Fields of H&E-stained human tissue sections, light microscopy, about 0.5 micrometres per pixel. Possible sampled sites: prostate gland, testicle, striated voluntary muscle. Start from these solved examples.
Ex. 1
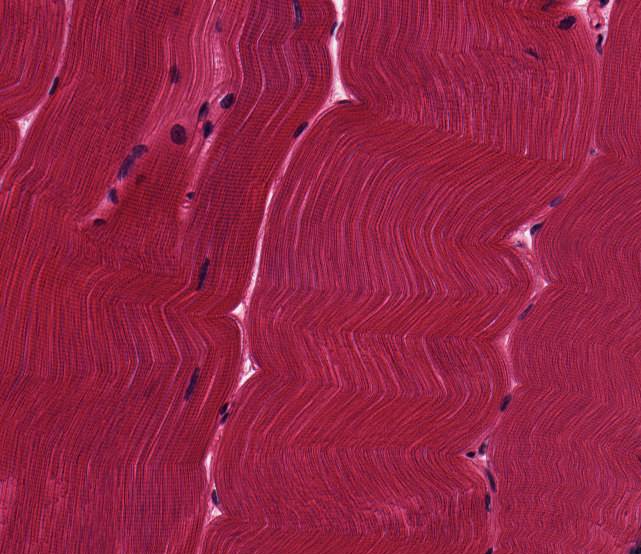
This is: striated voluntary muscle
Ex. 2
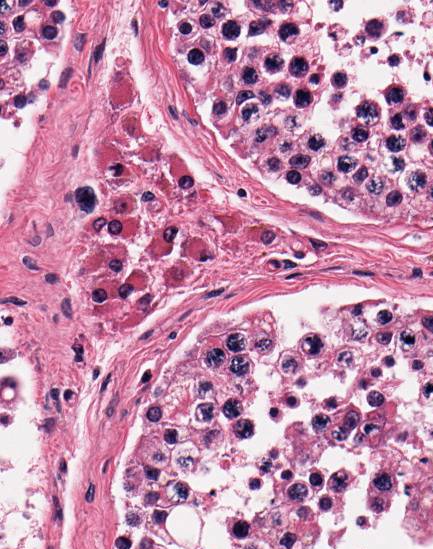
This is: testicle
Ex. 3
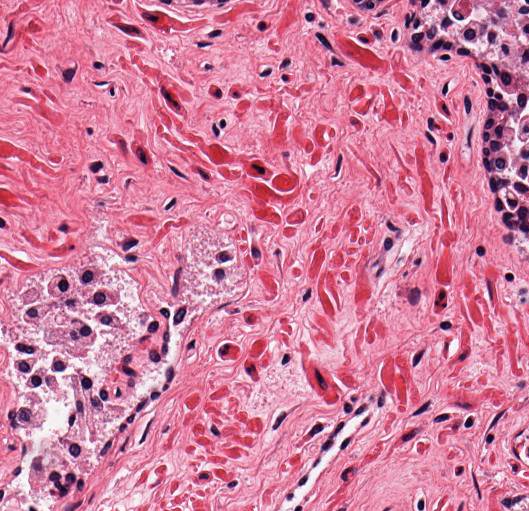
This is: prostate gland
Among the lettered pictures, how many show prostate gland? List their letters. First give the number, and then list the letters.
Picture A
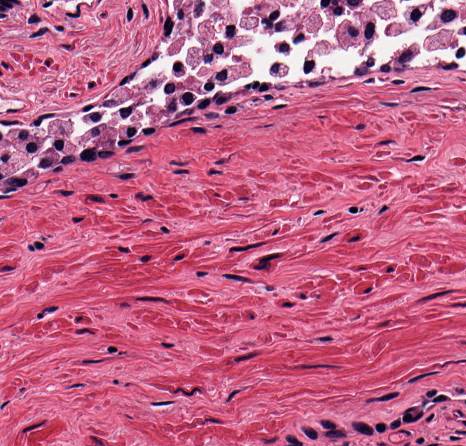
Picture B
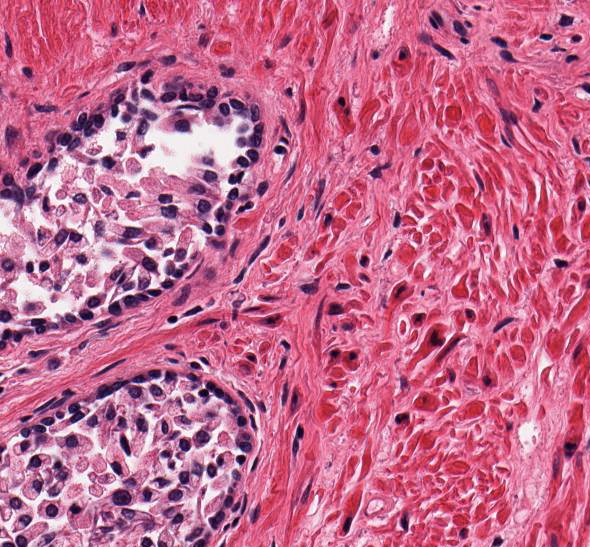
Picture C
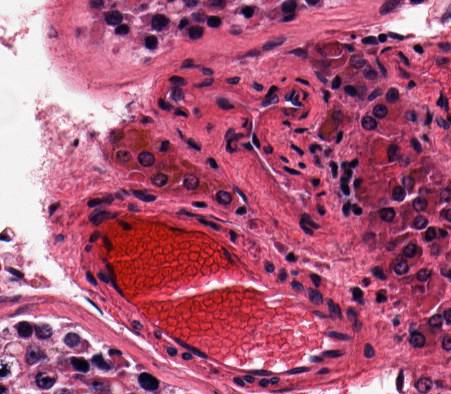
2: A, B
